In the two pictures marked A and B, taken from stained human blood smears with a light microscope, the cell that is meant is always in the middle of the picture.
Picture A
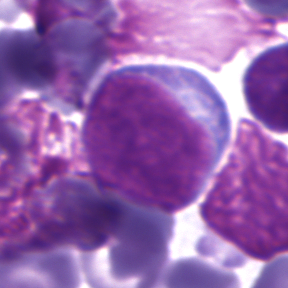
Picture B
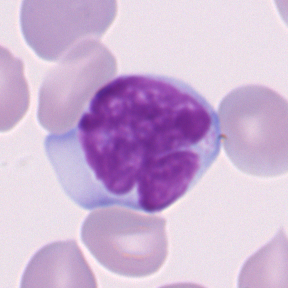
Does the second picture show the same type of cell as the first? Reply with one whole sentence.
Yes; the cells in both pictures are myeloblasts.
